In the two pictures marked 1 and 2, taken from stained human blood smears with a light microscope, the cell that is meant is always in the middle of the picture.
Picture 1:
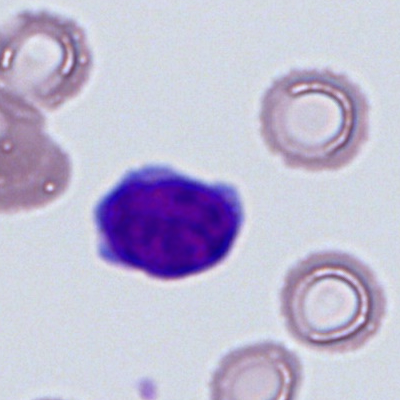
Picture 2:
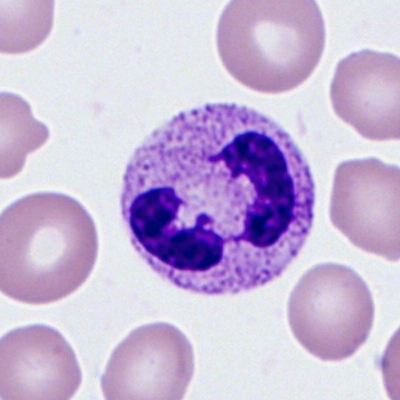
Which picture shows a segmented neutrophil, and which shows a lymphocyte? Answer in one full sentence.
In picture 1 the cell is a lymphocyte; in picture 2, a segmented neutrophil.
